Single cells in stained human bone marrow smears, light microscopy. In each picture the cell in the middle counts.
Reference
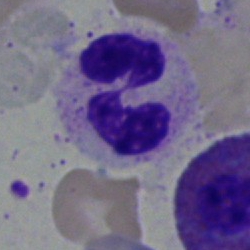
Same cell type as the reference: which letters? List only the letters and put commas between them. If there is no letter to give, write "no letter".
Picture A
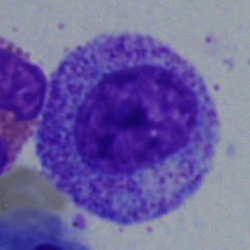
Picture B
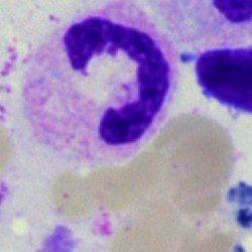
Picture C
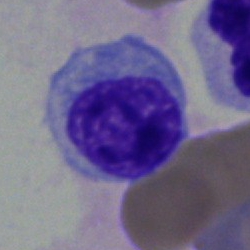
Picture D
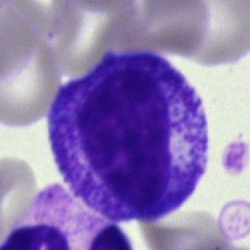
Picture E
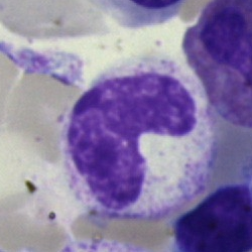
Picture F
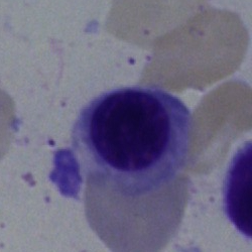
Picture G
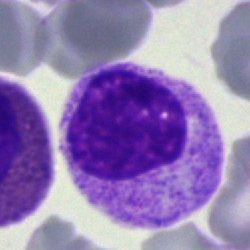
B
